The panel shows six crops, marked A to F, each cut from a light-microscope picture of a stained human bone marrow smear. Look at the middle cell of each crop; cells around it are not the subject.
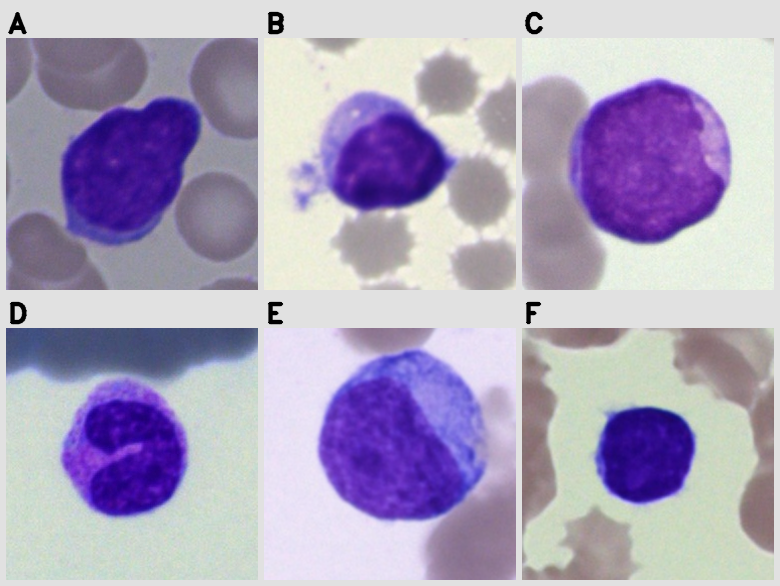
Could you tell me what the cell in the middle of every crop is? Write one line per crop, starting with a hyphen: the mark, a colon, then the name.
- A: blast
- B: lymphocyte
- C: blast
- D: band neutrophil
- E: blast
- F: lymphocyte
